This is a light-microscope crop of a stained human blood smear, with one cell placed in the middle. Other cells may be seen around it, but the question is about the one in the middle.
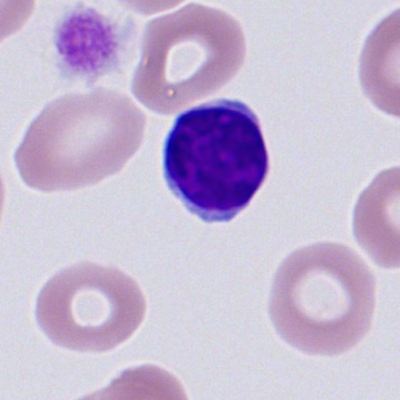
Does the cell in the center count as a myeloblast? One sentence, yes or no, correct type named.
No, the cell at the centre is categorised not as a myeloblast but as a lymphocyte.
